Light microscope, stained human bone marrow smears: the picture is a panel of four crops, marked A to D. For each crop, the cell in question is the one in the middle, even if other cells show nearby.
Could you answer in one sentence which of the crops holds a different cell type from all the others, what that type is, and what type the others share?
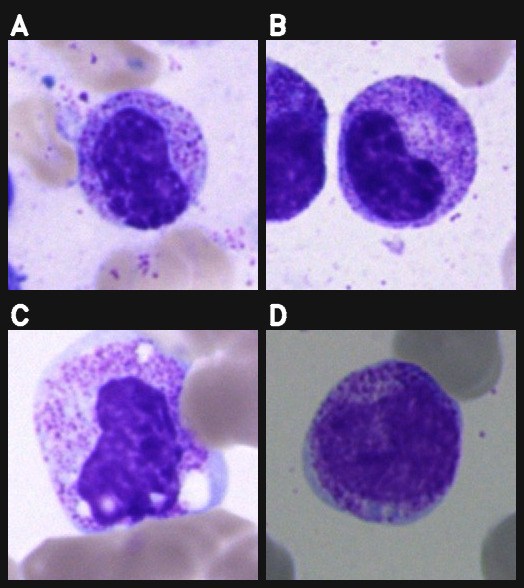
Crop D, showing a myelocyte, is the exception; the others all show metamyelocytes.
